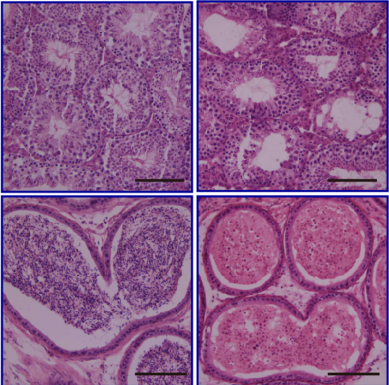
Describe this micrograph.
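In the right tubules, the lumina are wider and look emptier. The left epididymal duct is lined by a regular epithelium, and its lumen is filled with dense purple masses of sperm. The right ducts have a similar lining, but their lumina hold pale pink material with scattered round nuclei instead of packed sperm.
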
